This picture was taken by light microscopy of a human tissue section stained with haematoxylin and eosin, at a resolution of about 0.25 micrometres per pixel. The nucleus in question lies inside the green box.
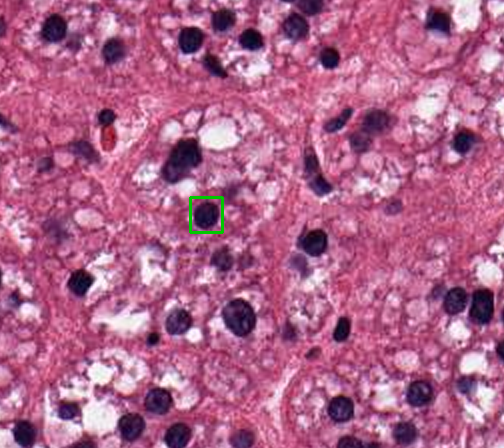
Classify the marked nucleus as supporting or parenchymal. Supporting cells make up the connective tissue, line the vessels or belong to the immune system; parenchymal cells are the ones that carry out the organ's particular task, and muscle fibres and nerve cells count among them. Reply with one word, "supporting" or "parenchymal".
parenchymal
